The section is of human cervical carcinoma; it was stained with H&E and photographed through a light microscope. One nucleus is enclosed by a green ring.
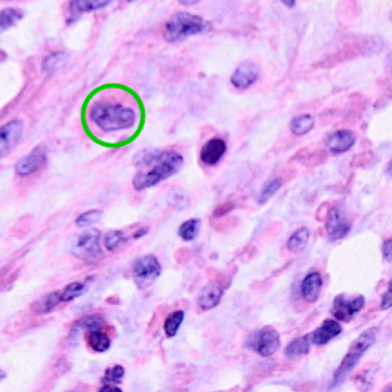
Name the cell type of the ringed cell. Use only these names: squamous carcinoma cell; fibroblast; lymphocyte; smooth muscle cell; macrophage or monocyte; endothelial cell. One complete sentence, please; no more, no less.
Cell type answer for this item: the ringed cell is a macrophage or monocyte.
